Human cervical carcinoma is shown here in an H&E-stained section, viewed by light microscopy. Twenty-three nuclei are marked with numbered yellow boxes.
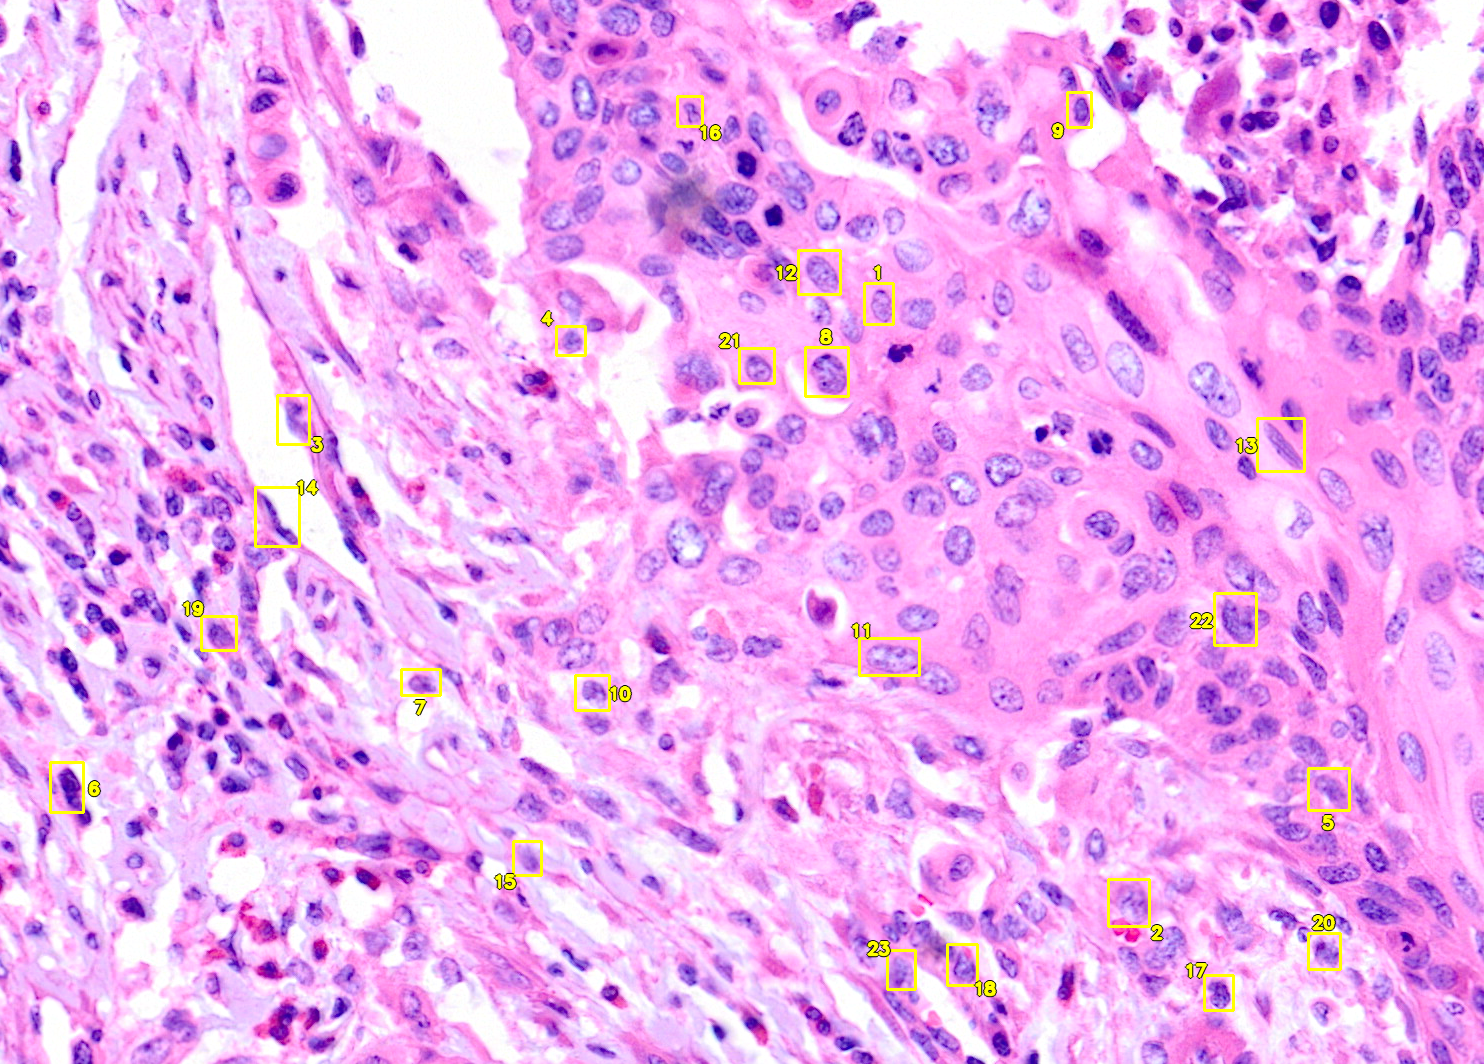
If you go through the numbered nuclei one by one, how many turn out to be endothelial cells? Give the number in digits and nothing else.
5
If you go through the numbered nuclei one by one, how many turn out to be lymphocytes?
2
